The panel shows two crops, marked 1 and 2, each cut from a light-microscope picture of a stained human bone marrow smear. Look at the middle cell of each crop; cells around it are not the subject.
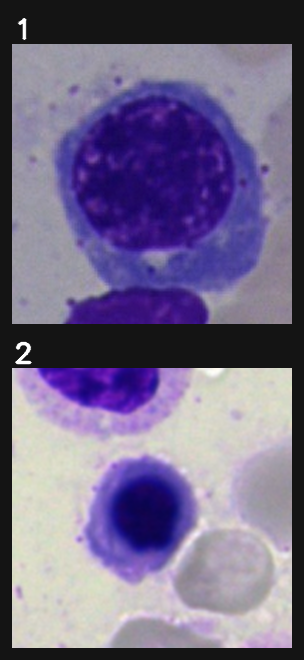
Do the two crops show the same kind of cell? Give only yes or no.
yes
